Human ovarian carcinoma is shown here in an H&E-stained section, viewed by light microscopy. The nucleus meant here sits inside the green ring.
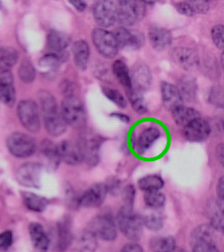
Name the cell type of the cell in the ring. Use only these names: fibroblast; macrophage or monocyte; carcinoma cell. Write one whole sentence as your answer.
Placed in its cell category, the cell in the ring is a carcinoma cell.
